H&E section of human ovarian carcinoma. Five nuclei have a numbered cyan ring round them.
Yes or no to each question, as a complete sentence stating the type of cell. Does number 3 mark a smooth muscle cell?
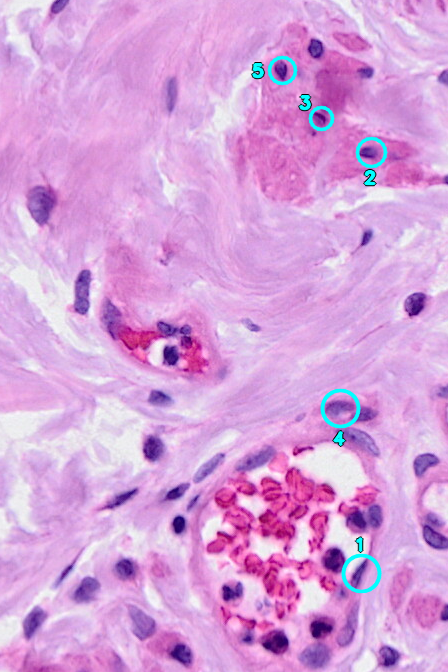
Yes, the marked cell with number 3 is a smooth muscle cell.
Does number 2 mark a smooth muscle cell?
Yes, it checks out; the cell labelled 2 is a smooth muscle cell.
